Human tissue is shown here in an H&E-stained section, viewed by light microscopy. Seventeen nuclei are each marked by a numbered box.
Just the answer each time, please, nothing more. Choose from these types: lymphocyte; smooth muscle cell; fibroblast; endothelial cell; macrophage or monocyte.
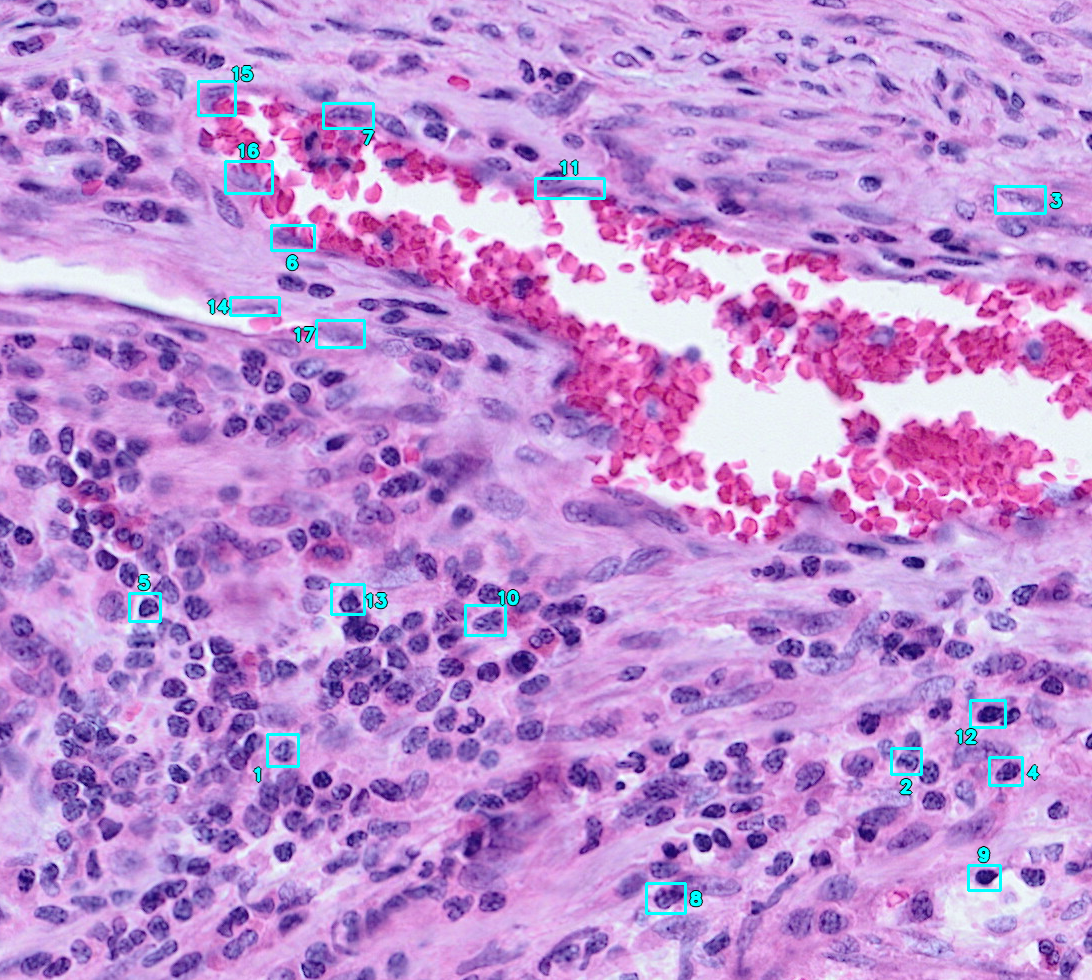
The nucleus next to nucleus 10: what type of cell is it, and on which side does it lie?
a lymphocyte; above nucleus 10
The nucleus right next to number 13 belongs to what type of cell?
lymphocyte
